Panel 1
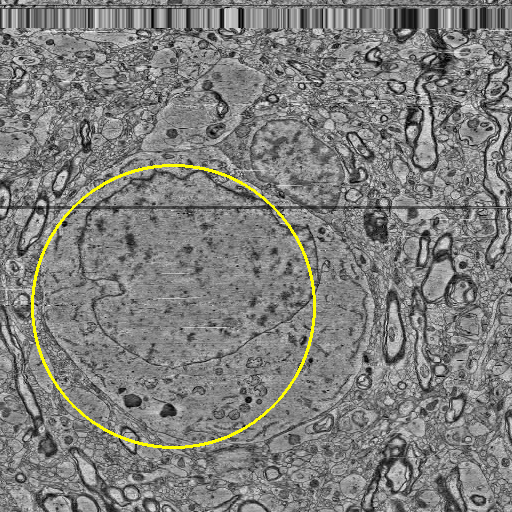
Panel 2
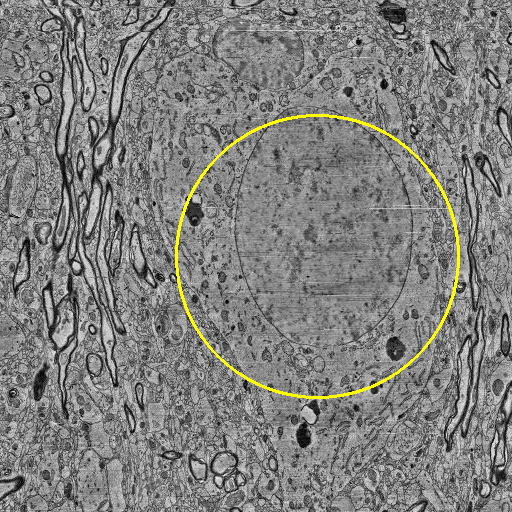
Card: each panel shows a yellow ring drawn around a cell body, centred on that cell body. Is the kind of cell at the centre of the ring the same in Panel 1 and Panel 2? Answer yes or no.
yes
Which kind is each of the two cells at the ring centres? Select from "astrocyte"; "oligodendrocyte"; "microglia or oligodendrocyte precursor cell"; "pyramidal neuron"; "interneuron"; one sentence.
Each cell at the centre of a ring is a pyramidal neuron.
